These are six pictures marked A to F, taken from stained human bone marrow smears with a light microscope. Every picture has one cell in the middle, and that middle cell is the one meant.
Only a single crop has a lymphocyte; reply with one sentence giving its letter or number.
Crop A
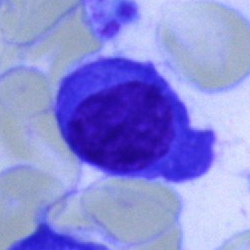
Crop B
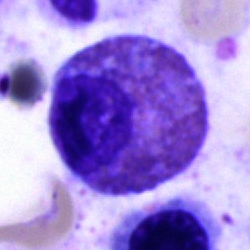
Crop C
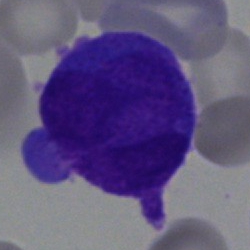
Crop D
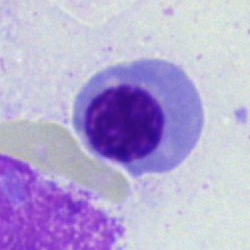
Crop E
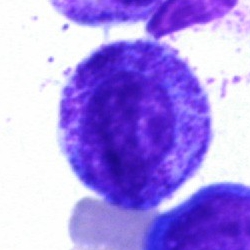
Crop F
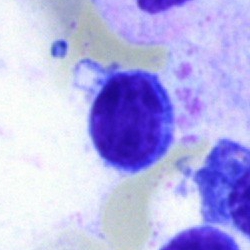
The one crop that shows a lymphocyte is crop F.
